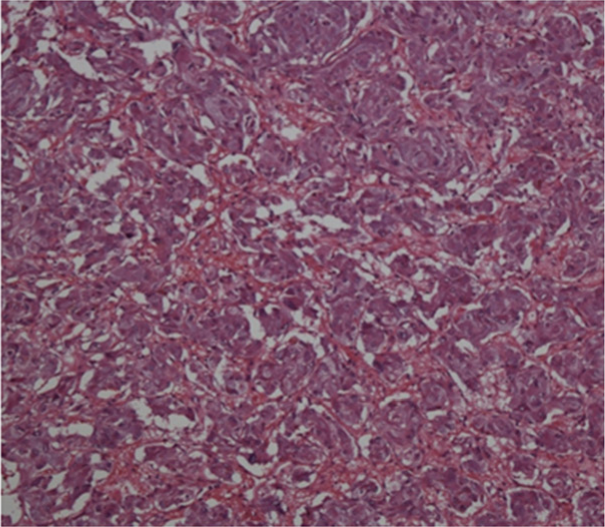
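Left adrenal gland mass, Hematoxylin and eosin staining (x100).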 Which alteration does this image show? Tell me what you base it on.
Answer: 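Tumour cells lie in rounded nests and clusters separated by delicate pink septa. The answer: pheochromocytoma.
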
